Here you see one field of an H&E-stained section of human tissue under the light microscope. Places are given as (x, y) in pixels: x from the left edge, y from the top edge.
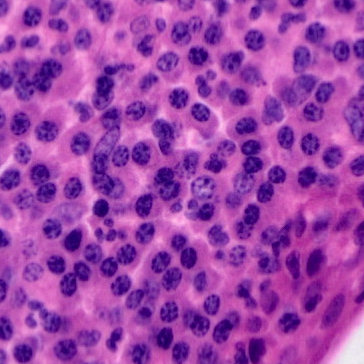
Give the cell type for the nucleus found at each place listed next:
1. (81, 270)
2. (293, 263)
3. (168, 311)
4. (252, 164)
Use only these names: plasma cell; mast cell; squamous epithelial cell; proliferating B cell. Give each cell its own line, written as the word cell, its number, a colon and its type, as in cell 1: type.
cell 1: plasma cell
cell 2: squamous epithelial cell
cell 3: plasma cell
cell 4: plasma cell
